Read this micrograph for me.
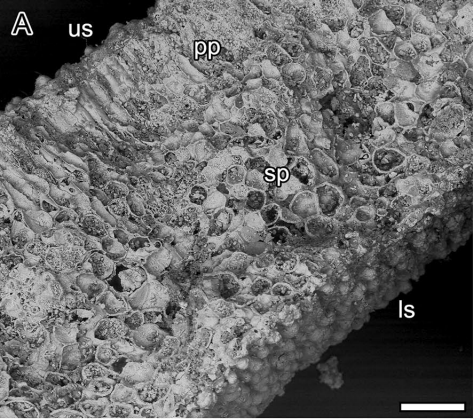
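A fractured leaf cross-section shows the mesophyll between the upper and lower surfaces. Next to the upper surface, the cells are elongate and cylindrical, standing side by side in a row roughly perpendicular to the surface, forming a palisade layer. Below it, the cells are irregular to rounded and globose, loosely arranged with spaces between them, forming a spongy layer. The lower surface at the bottom right is covered with small rounded bumps. Cell walls appear three-dimensionally preserved, and some cells are broken open, showing hollow interiors.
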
